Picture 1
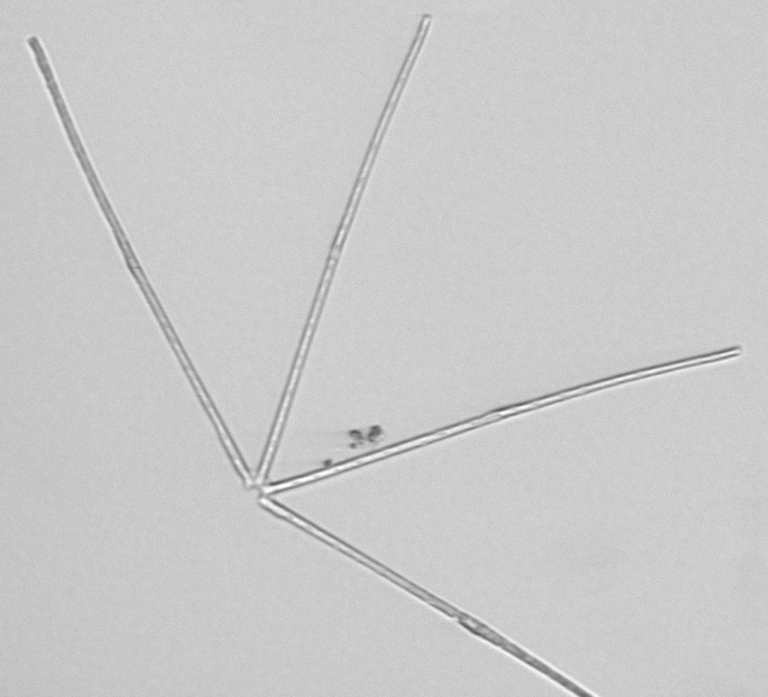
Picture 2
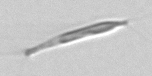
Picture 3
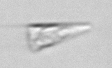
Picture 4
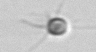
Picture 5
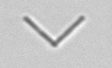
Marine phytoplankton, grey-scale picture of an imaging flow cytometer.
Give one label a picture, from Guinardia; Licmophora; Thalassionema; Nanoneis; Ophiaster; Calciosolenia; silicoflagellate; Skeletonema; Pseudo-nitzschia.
Picture 1: Thalassionema
Picture 2: Calciosolenia
Picture 3: Licmophora
Picture 4: Ophiaster
Picture 5: Nanoneis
